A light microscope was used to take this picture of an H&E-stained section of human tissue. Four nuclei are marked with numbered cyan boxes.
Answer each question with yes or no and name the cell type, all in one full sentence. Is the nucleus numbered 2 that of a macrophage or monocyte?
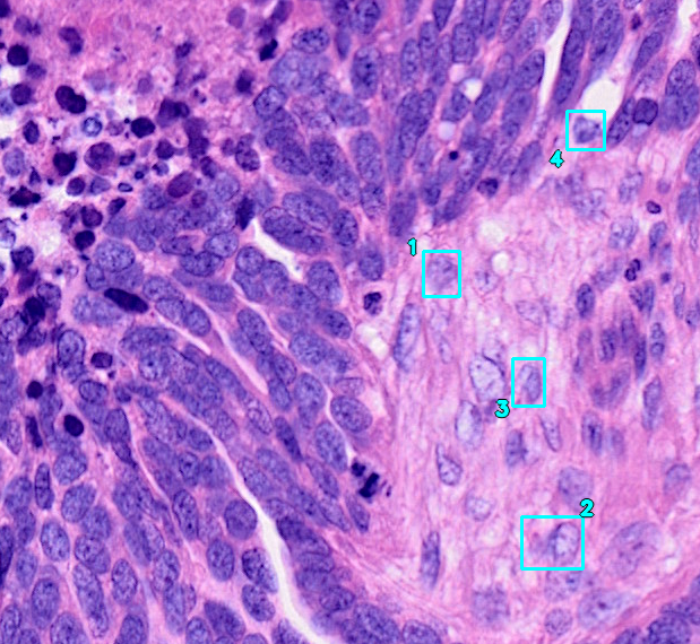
No, rather than a macrophage or monocyte, cell number 2 is a fibroblast.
